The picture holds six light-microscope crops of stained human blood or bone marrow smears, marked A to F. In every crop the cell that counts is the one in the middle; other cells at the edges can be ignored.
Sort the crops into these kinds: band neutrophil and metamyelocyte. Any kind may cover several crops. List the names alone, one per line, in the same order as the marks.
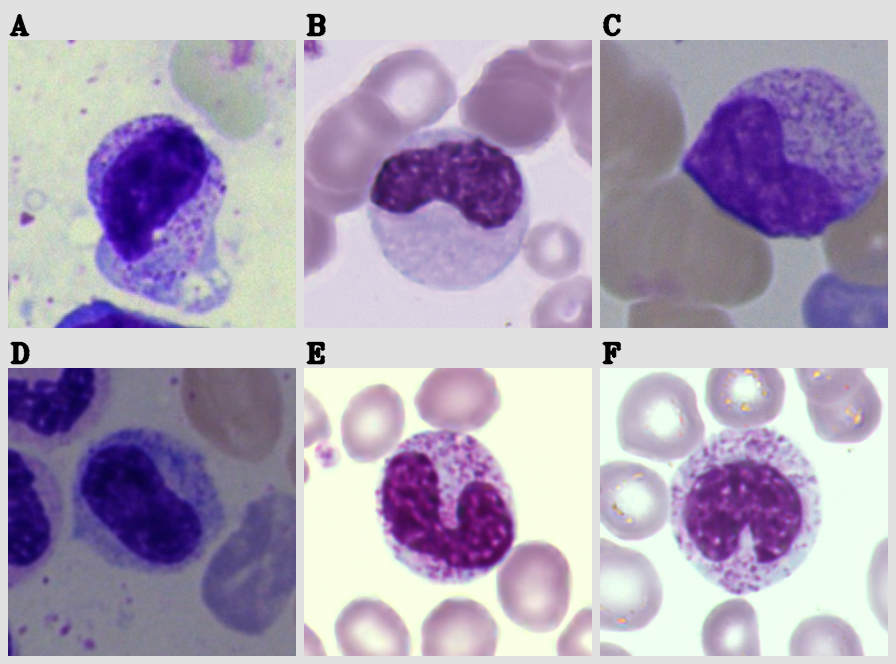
metamyelocyte
metamyelocyte
metamyelocyte
metamyelocyte
band neutrophil
band neutrophil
